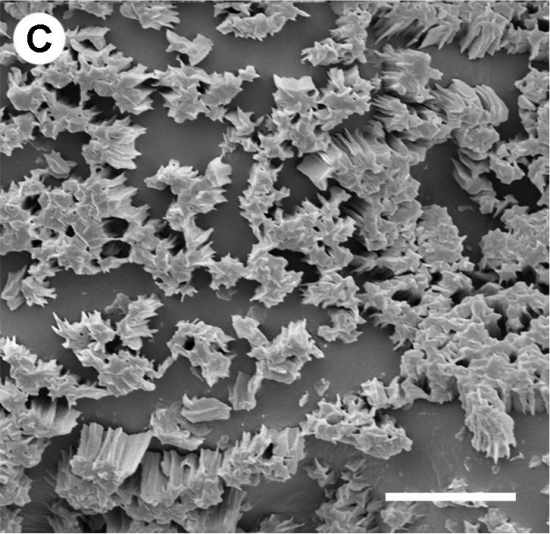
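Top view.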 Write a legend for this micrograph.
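Plant surface with wax crystals grouped into solid, jagged, pillar-like clusters. The clusters are unevenly spread, some dense and some isolated. Between them lies smooth, featureless cuticle.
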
